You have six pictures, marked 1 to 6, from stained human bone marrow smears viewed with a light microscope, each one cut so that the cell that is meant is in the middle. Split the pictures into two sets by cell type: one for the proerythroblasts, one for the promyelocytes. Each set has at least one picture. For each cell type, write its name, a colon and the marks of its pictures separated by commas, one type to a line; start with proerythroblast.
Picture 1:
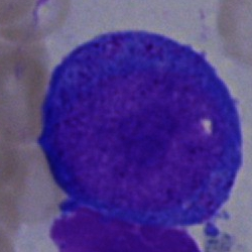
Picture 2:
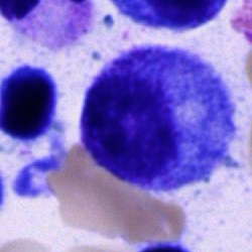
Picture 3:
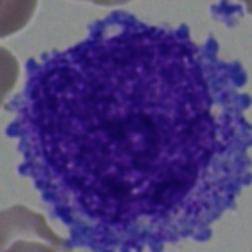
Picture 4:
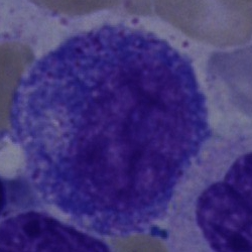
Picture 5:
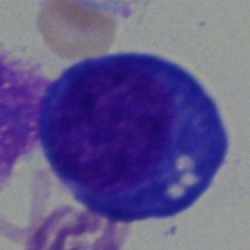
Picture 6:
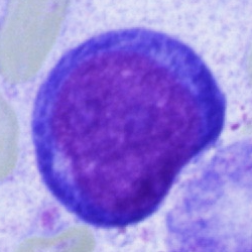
proerythroblast: 1, 5, 6
promyelocyte: 2, 3, 4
